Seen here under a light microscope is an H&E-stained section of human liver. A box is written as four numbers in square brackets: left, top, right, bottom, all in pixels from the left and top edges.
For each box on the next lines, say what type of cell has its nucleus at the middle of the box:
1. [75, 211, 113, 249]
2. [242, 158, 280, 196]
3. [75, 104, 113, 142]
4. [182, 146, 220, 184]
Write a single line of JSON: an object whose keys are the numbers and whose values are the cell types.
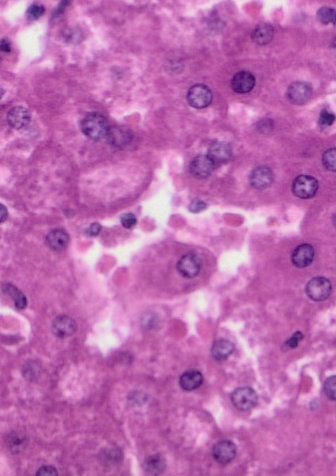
{"1": "Kupffer cell", "2": "hepatocyte", "3": "hepatocyte", "4": "hepatocyte"}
